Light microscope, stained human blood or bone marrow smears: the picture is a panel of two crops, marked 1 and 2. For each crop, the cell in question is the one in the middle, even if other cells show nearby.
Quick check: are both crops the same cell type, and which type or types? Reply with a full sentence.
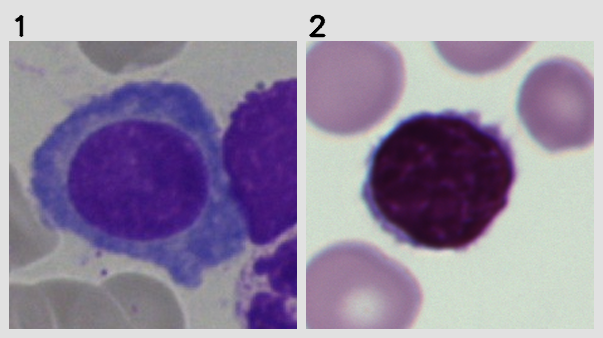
No, the cell of interest in crop 1 is a plasma cell, and in crop 2 it is a lymphocyte.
